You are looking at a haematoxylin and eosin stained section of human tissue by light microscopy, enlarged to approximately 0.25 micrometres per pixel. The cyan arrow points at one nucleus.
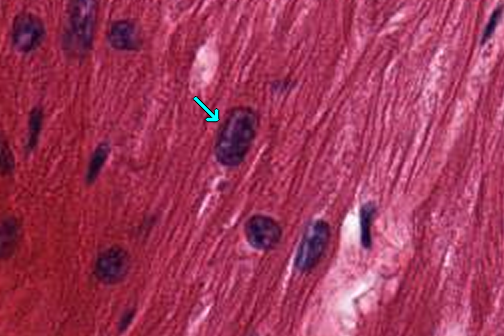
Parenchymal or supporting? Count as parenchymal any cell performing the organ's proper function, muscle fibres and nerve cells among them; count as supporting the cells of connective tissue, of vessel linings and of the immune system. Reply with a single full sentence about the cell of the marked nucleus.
The marked nucleus is part of the parenchyma, belonging to a cardiomyocyte.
